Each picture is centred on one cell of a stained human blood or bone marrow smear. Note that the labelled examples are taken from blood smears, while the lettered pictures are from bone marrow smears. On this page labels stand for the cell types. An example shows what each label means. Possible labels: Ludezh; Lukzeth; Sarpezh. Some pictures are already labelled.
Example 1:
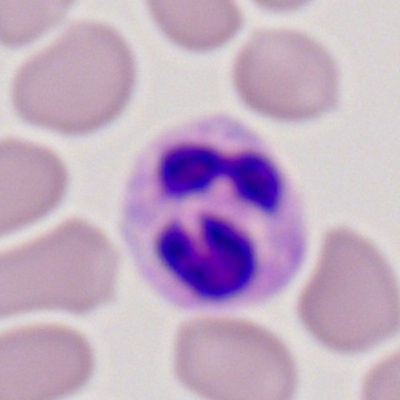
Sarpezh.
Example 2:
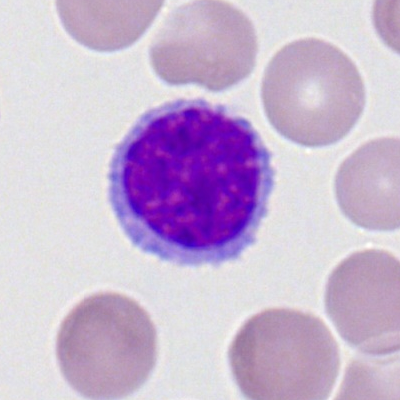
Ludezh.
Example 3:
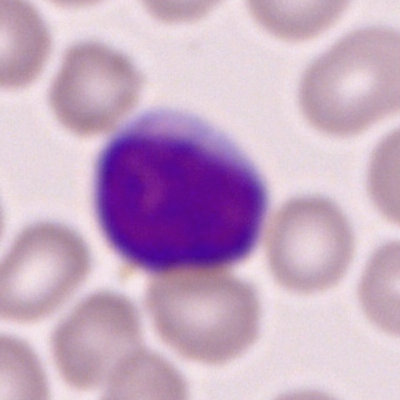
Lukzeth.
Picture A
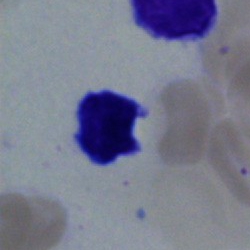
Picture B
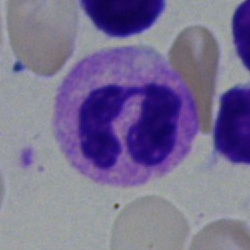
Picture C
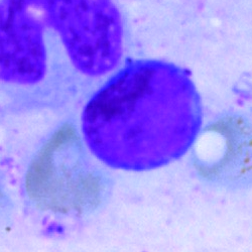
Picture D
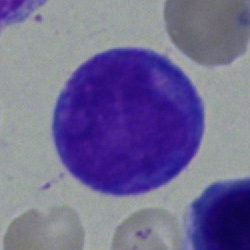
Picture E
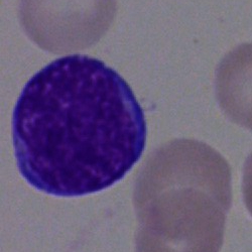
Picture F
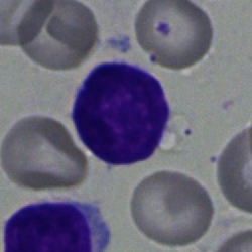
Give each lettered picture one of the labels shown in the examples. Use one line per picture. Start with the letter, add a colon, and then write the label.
A: Ludezh.
B: Sarpezh.
C: Ludezh.
D: Lukzeth.
E: Lukzeth.
F: Ludezh.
